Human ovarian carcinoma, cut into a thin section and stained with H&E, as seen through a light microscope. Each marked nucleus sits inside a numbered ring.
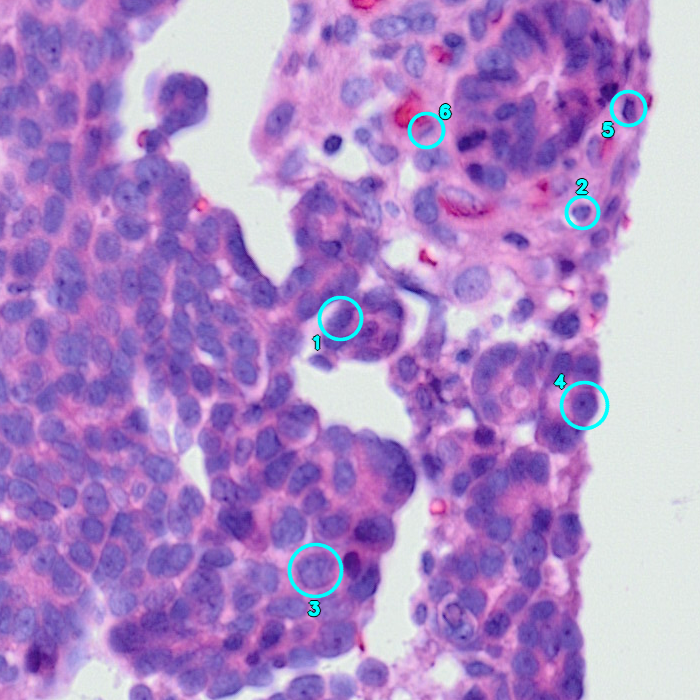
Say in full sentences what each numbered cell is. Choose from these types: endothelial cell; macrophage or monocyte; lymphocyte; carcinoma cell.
Cell 1 is a carcinoma cell, cell 2 is a lymphocyte, cell 3 is a carcinoma cell, cell 4 is a carcinoma cell, cell 5 is a macrophage or monocyte and cell 6 is an endothelial cell.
